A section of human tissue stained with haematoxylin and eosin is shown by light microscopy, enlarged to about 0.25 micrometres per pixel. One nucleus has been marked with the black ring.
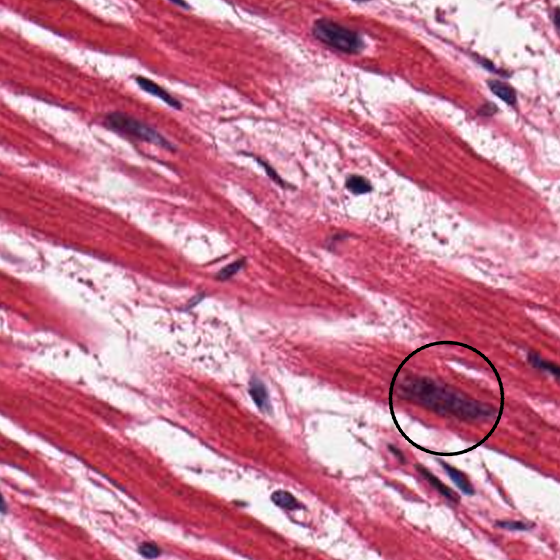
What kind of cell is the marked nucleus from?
cardiomyocyte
